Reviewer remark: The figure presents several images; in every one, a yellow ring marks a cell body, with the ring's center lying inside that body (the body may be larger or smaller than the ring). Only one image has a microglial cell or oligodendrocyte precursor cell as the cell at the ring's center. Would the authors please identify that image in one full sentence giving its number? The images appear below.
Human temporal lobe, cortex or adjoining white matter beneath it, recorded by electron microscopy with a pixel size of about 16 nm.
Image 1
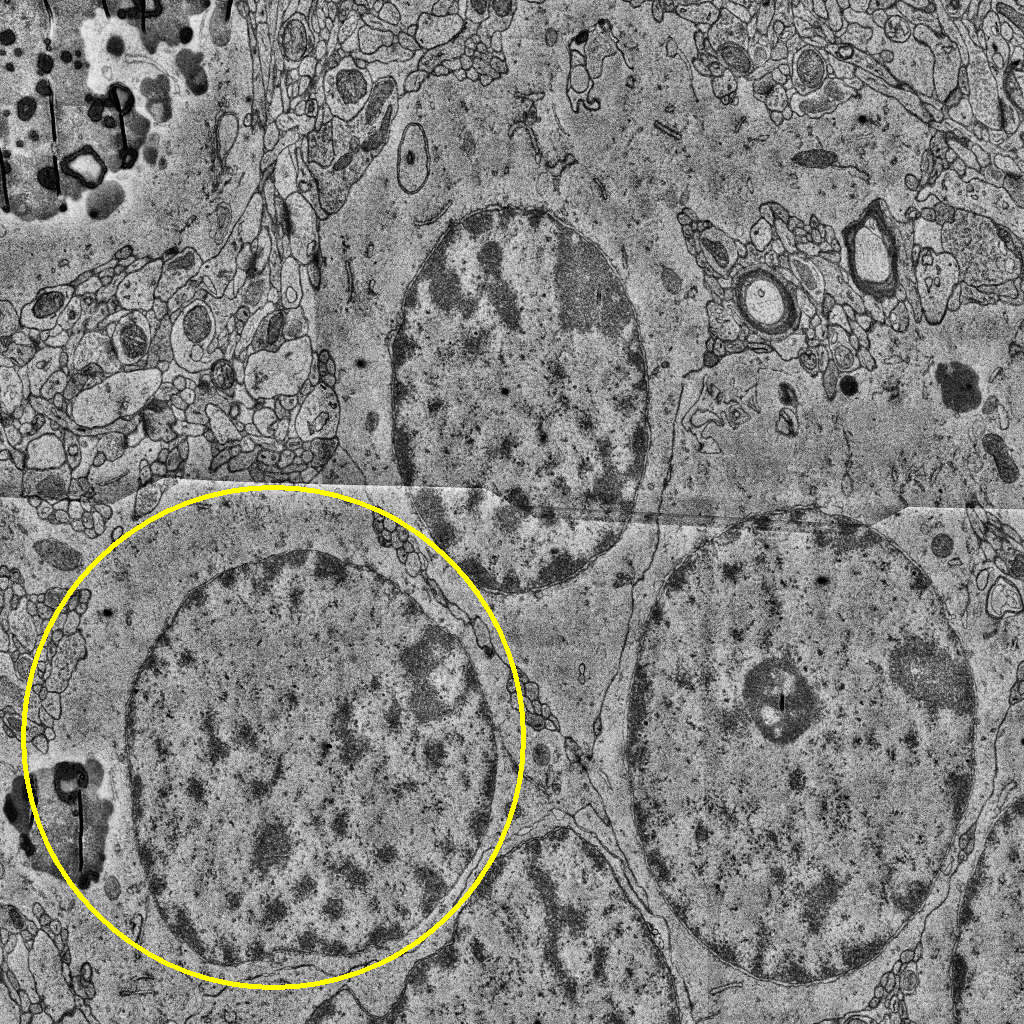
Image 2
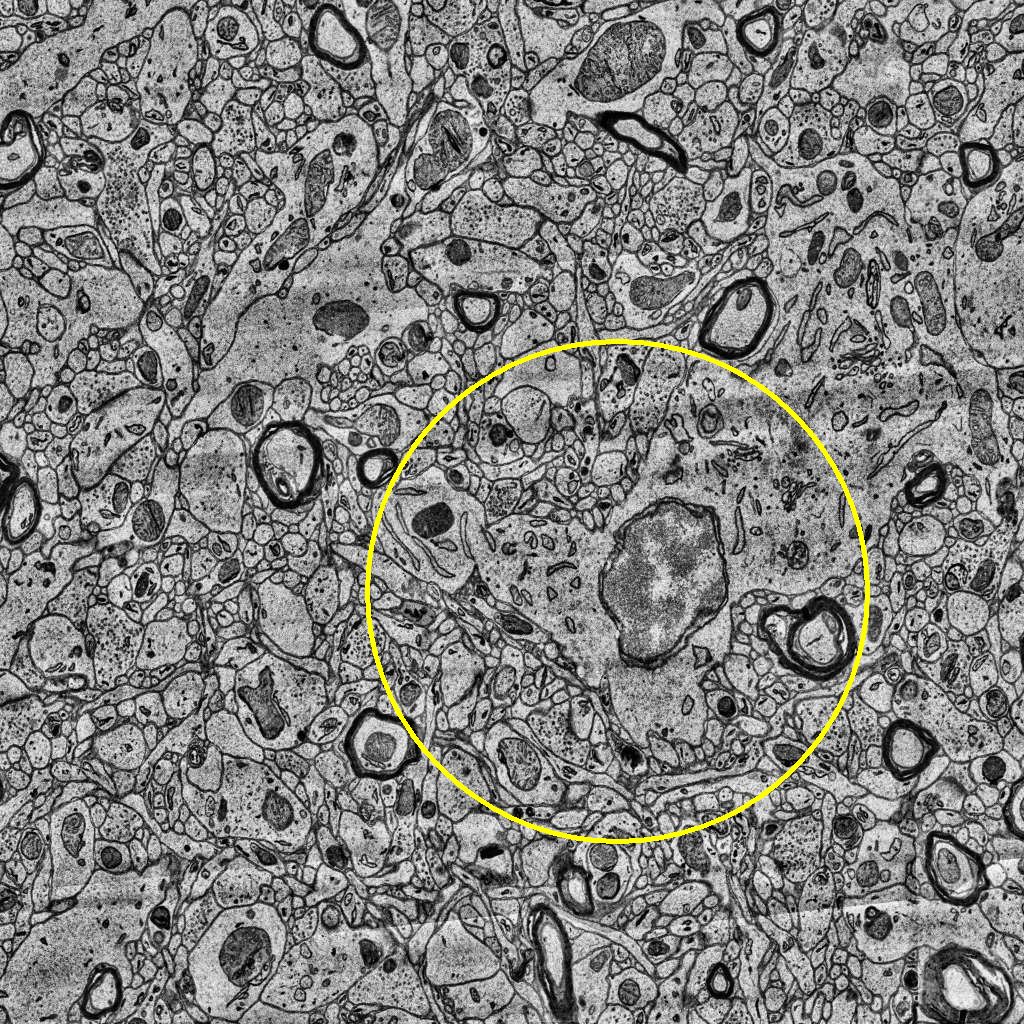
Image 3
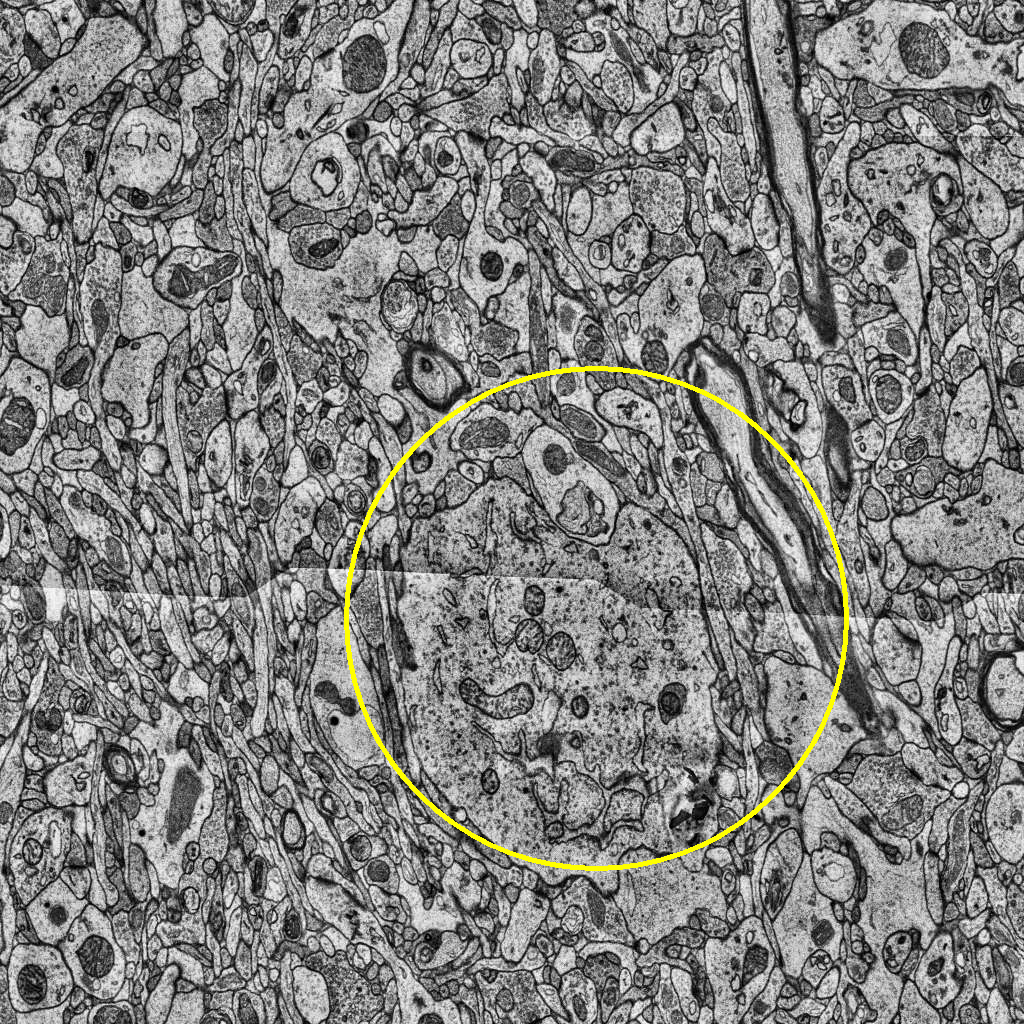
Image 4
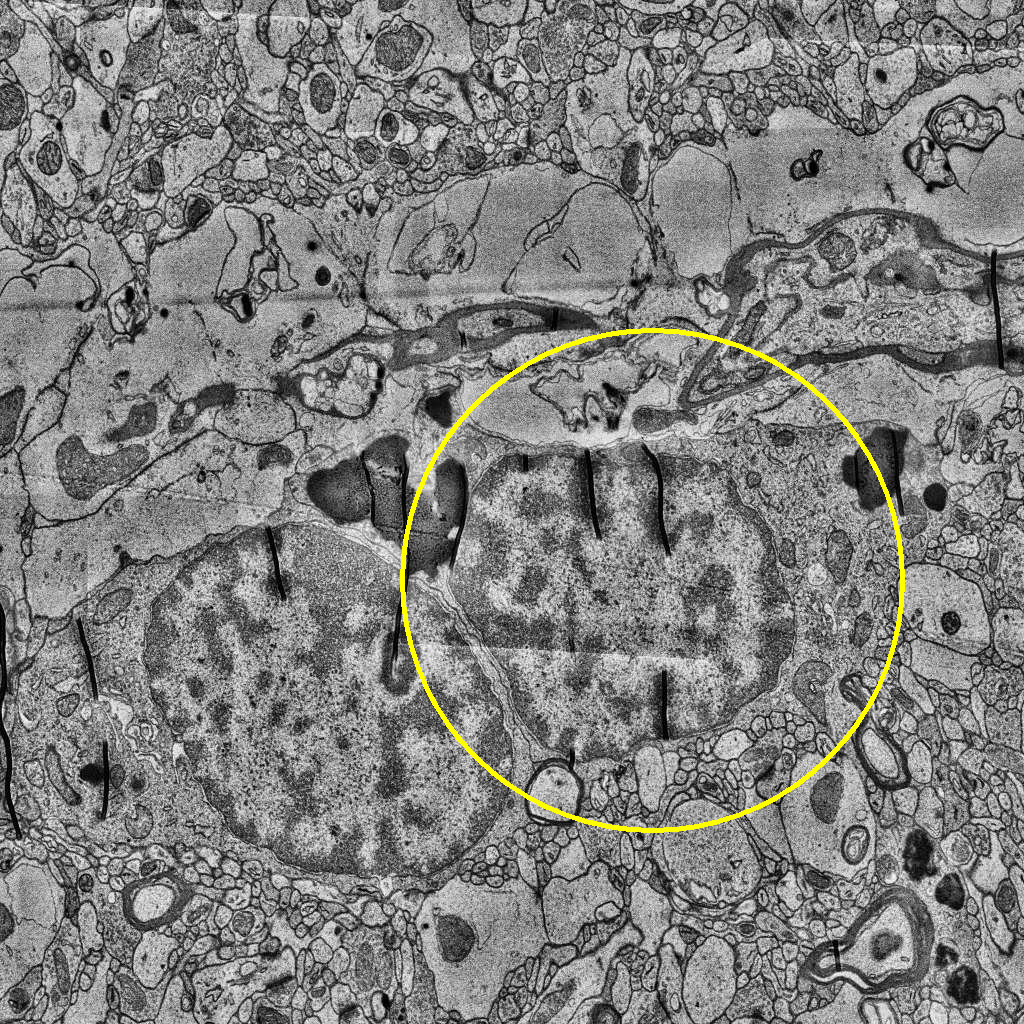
The cell at the ring's center in image 2 is the one the question describes.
